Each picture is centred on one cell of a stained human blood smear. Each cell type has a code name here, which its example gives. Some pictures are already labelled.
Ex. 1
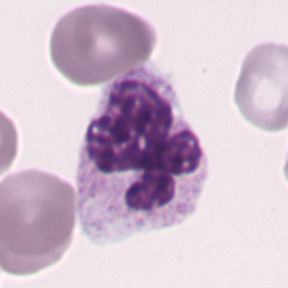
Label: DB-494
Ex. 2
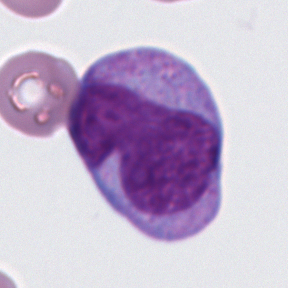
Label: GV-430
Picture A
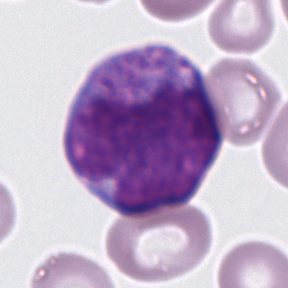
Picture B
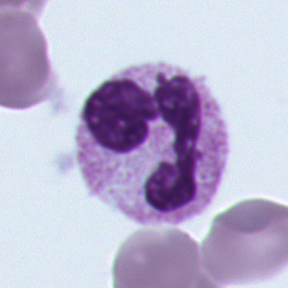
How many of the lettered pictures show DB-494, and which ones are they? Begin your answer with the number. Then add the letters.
1, namely B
